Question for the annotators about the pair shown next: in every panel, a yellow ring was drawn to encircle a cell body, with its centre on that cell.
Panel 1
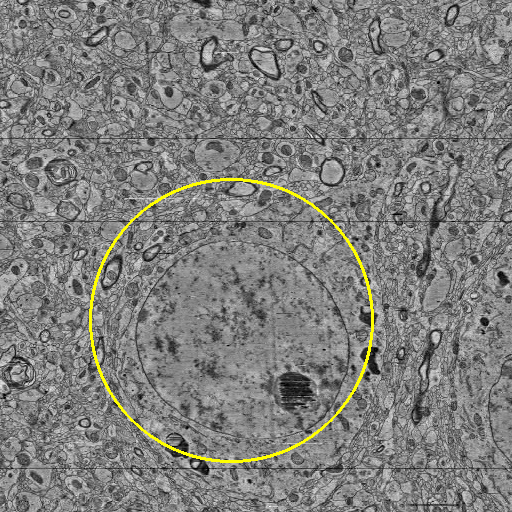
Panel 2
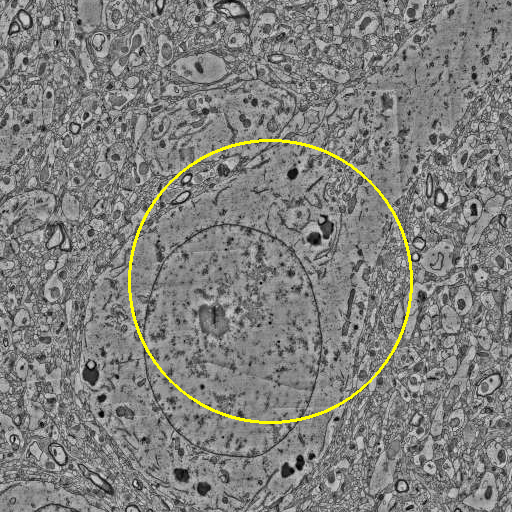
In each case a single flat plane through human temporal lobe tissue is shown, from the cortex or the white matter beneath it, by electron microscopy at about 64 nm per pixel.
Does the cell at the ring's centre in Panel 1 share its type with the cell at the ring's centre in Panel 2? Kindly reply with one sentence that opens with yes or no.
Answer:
Yes, in Panels 1 and 2 the cells at the ring centres belong to a single type.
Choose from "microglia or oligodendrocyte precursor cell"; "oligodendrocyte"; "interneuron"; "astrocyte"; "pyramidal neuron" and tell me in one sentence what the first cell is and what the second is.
In each of the two pictures, the ringed cell is a pyramidal neuron.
